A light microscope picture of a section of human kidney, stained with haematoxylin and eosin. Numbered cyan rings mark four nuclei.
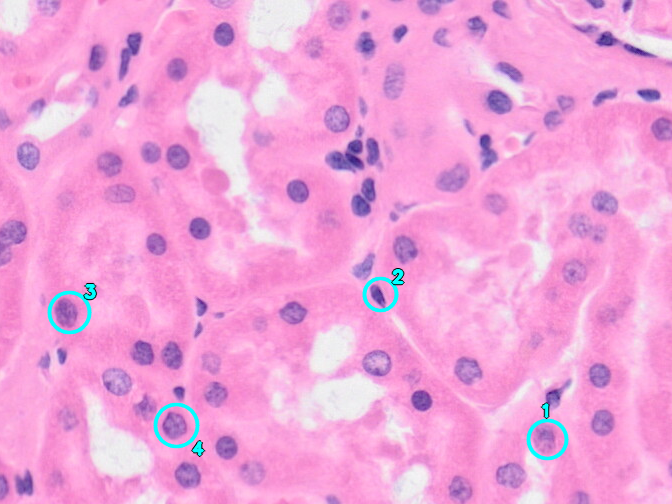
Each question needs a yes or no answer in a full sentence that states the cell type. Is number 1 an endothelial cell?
No, the correct answer for cell 1 is a proximal tubule cell, not an endothelial cell.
